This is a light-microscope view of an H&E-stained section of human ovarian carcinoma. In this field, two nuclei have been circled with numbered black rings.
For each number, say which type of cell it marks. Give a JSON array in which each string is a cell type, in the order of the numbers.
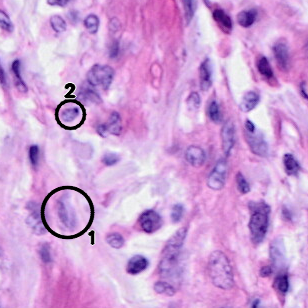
["fibroblast", "lymphocyte"]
